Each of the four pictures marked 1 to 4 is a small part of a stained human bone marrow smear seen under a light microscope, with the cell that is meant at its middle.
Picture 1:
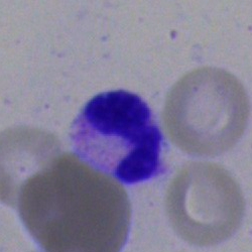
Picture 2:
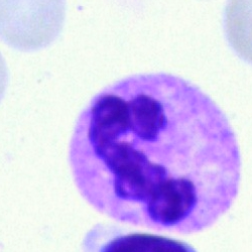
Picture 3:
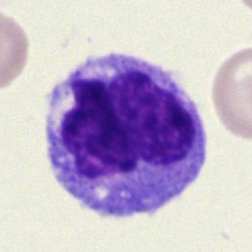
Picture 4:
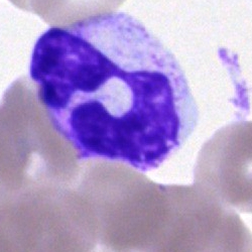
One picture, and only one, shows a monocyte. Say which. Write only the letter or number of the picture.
3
